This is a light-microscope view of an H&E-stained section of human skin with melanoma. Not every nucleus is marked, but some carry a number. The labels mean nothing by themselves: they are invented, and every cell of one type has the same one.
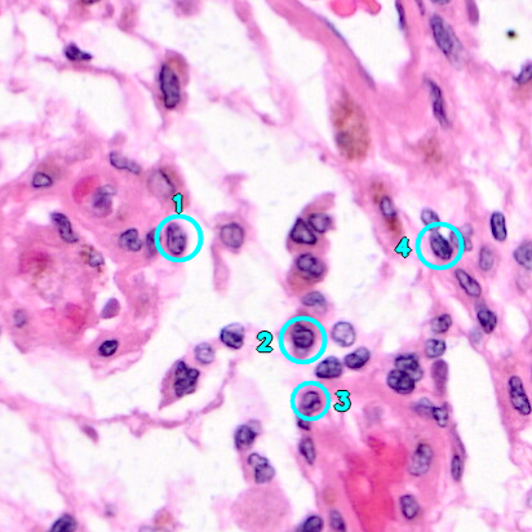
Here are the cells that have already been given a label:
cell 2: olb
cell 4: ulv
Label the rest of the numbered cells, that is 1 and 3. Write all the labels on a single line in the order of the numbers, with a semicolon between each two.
olb; olb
